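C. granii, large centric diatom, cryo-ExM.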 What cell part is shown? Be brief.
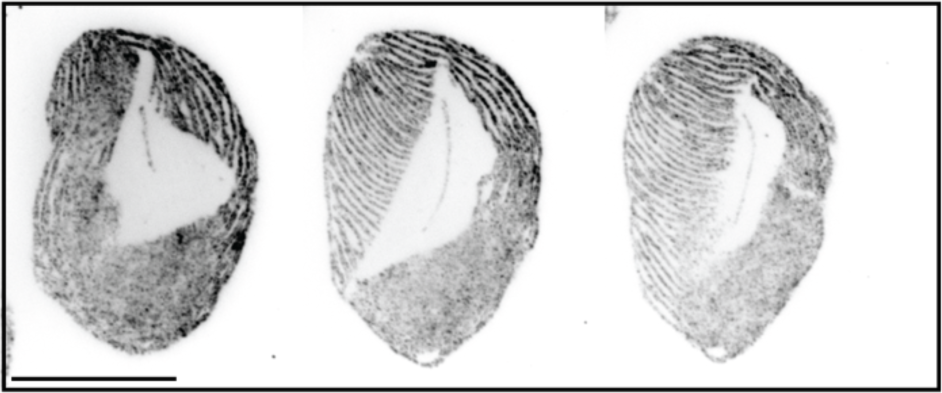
Thylakoids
